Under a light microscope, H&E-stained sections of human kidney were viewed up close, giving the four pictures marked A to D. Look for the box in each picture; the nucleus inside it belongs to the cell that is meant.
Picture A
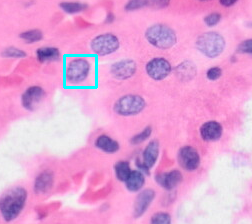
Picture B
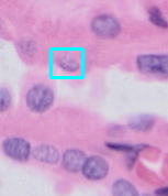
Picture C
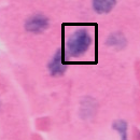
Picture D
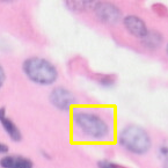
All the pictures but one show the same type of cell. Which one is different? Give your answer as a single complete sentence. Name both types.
Unlike the rest, which show “loop of Henle or distal tubule cells”, picture D shows a collecting duct cell.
